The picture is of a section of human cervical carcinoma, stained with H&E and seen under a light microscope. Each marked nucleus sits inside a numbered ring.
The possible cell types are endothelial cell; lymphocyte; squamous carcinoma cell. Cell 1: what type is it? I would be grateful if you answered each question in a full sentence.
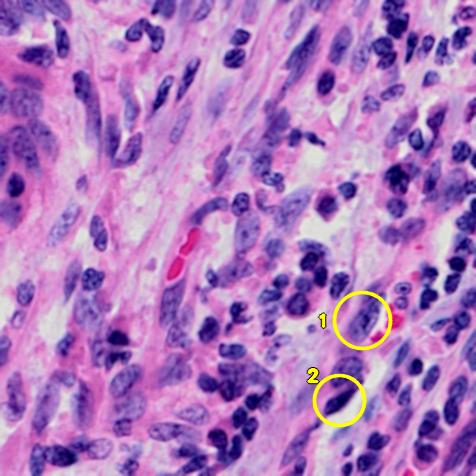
The cell referred to as 1 is an endothelial cell.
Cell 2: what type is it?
The cell numbered 2 has been identified as a lymphocyte.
